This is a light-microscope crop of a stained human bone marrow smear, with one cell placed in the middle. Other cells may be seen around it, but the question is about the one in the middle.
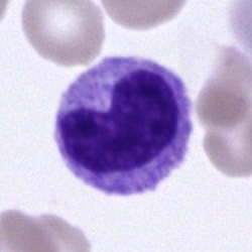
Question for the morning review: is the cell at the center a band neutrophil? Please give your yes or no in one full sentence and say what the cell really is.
No, the cell at the centre of the crop corresponds to a metamyelocyte, not a band neutrophil.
